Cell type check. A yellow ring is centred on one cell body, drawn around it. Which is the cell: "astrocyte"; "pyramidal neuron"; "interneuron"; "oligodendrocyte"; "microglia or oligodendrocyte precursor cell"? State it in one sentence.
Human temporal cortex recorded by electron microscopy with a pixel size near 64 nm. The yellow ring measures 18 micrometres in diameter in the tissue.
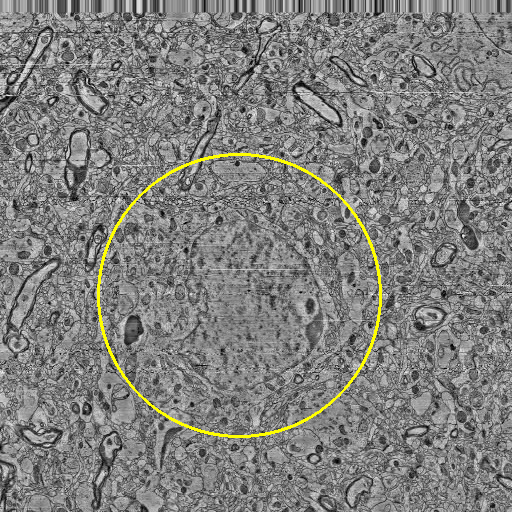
The cell body at the ring's centre belongs to an interneuron.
